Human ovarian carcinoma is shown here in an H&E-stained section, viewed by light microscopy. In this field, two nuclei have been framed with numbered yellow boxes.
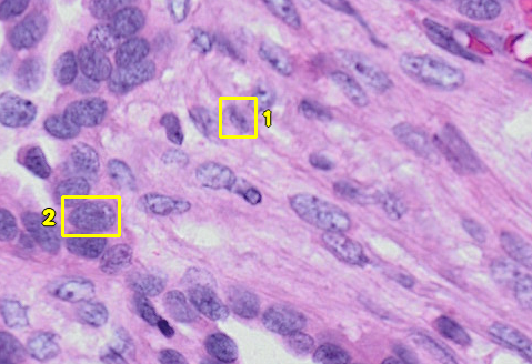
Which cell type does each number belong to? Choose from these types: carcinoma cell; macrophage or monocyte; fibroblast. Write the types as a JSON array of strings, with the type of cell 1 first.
["fibroblast", "carcinoma cell"]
